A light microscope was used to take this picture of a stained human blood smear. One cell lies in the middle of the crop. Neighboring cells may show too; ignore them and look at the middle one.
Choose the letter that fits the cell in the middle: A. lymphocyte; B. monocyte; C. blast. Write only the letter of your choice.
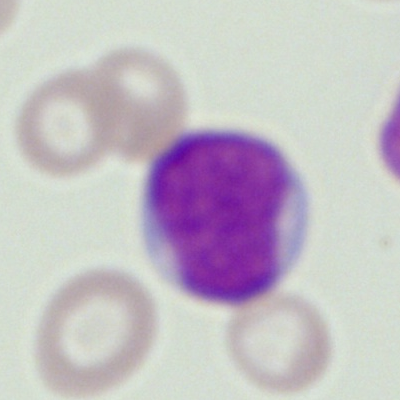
C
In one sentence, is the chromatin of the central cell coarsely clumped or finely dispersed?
In this cell the chromatin is fine rather than coarsely clumped.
